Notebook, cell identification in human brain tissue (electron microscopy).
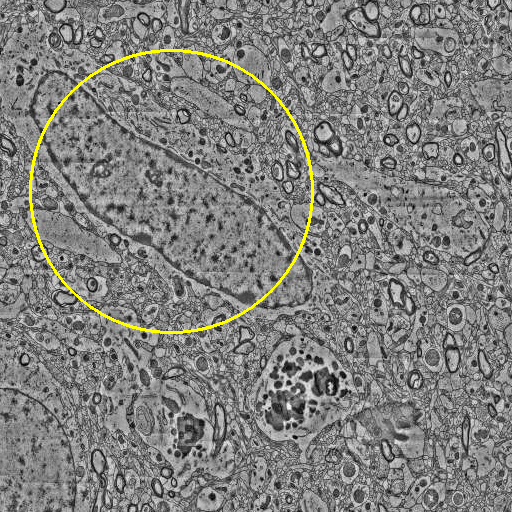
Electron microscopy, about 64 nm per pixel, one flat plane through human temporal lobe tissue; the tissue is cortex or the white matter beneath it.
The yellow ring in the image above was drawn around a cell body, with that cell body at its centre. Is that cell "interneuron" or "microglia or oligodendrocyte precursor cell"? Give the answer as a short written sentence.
The cell in the ring is a microglial cell or oligodendrocyte precursor cell.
